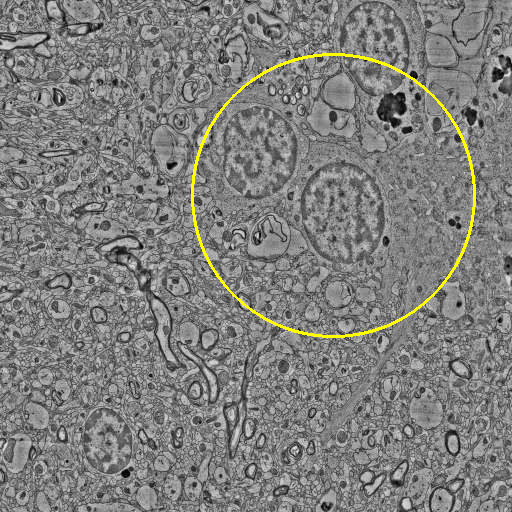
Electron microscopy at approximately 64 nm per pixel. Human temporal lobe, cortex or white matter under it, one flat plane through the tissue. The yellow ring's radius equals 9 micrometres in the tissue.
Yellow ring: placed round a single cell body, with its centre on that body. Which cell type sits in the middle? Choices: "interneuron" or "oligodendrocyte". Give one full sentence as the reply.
It is an oligodendrocyte whose cell body sits at the centre of the yellow ring.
